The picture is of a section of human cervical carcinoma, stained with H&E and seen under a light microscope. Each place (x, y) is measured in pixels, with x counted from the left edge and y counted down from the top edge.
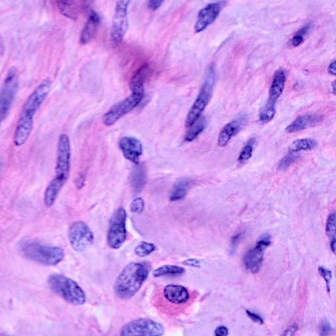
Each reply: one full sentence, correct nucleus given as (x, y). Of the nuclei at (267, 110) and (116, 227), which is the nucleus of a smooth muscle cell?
Of the pair, the nucleus positioned at (267, 110) is that of a smooth muscle cell.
